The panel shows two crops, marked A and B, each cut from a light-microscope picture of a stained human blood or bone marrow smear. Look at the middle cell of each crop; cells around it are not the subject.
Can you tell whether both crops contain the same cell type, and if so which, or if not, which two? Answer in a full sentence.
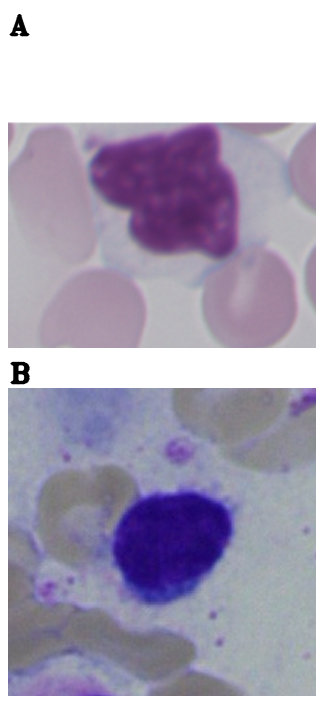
Yes, it is lymphocytes that sit at the centre of both crops.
